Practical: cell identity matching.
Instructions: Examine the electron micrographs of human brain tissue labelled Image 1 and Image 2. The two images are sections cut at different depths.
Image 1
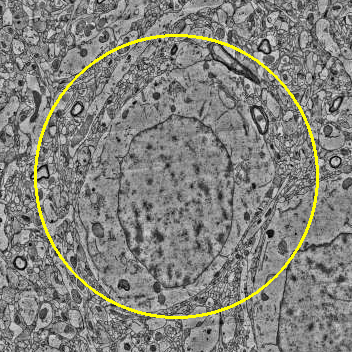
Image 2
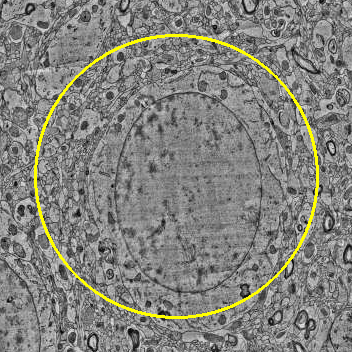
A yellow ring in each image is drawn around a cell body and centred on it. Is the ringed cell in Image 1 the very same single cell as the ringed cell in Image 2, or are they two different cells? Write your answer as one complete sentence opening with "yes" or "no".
No, the two circled cells are distinct from one another.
